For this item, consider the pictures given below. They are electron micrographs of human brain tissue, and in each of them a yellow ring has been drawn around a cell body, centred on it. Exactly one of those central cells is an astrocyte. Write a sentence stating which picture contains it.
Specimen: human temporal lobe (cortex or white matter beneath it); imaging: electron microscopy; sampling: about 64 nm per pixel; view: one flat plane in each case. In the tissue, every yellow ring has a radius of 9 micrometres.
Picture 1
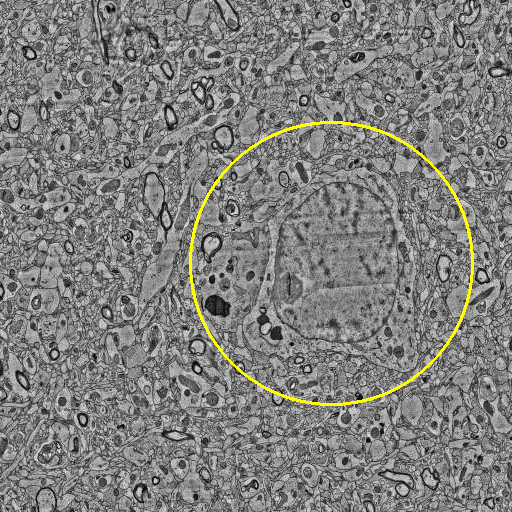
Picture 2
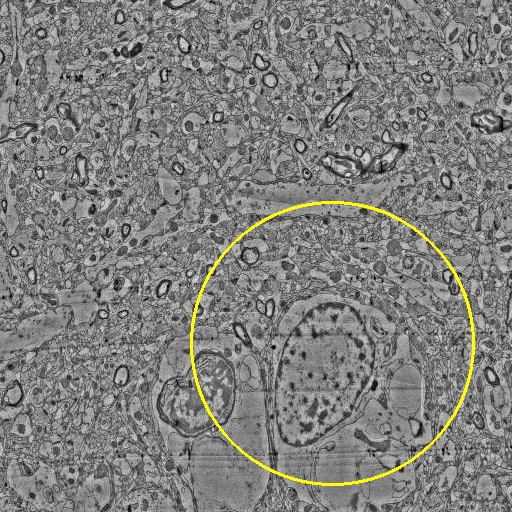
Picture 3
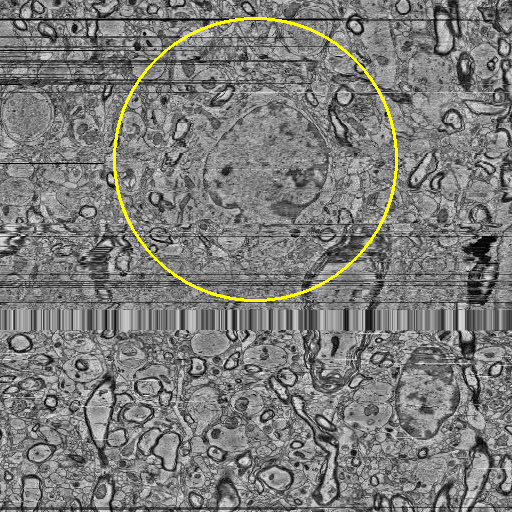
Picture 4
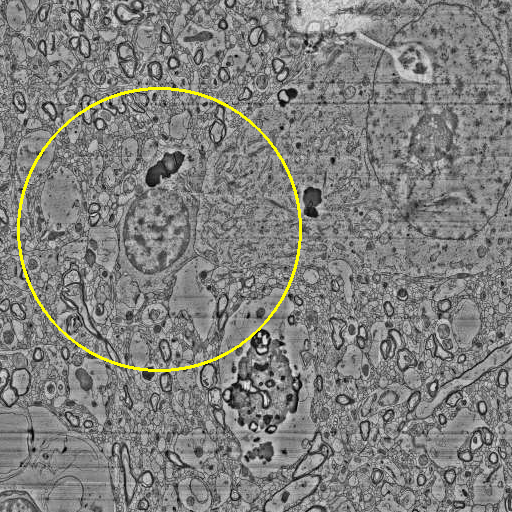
It is in Picture 2.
